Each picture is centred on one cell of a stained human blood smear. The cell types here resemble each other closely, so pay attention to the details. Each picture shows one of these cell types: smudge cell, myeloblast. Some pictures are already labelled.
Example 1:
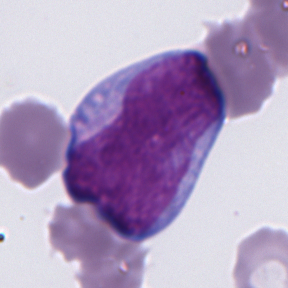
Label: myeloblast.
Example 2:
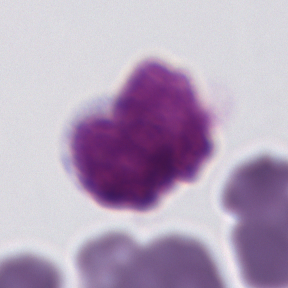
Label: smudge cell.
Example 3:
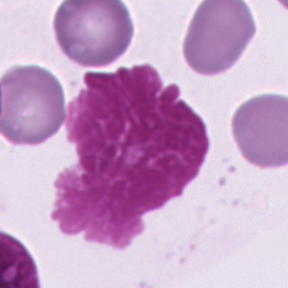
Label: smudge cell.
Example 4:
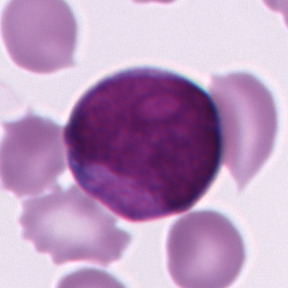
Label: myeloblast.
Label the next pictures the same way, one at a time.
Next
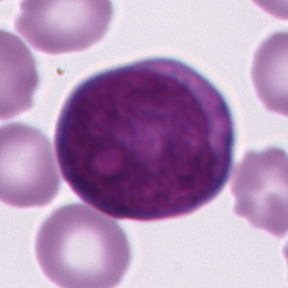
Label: myeloblast.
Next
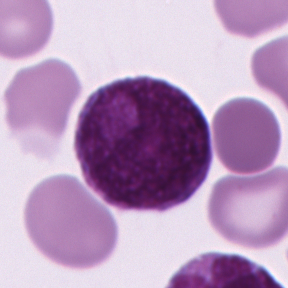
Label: myeloblast.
